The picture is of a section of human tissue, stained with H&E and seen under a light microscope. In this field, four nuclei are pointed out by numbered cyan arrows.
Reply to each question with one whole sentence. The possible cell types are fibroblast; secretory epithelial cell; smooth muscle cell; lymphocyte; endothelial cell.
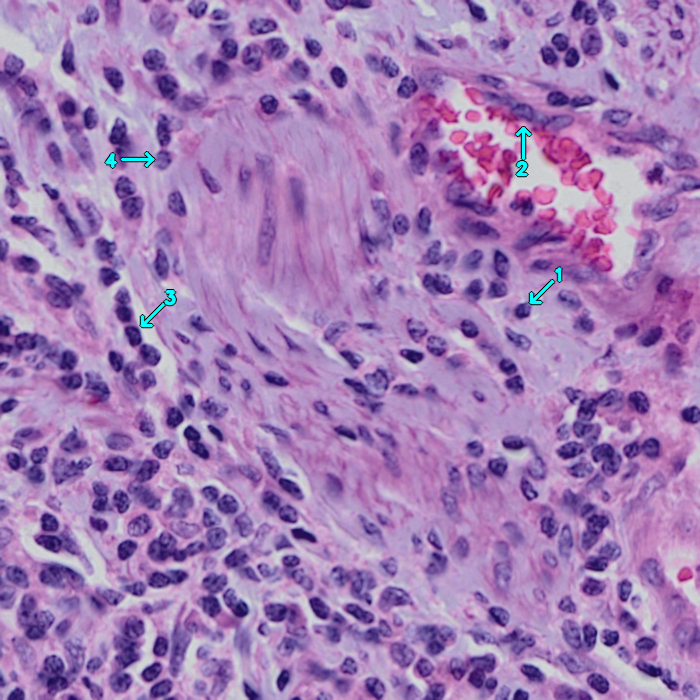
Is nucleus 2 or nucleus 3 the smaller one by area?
Nucleus 3 is the smaller one; nucleus 2 covers about 2 times its area.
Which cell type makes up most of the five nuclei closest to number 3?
Lymphocytes make up most of the five nuclei closest to number 3.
